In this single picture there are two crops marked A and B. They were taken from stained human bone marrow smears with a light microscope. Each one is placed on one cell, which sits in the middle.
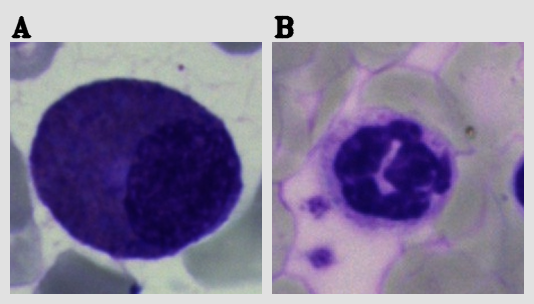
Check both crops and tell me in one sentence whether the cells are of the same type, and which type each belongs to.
No, crop A depicts an eosinophil; crop B depicts a segmented neutrophil.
